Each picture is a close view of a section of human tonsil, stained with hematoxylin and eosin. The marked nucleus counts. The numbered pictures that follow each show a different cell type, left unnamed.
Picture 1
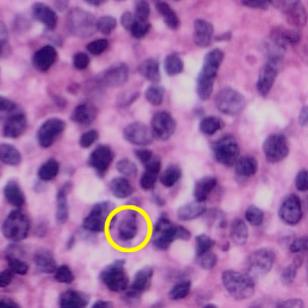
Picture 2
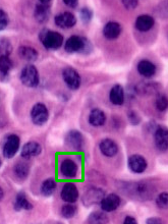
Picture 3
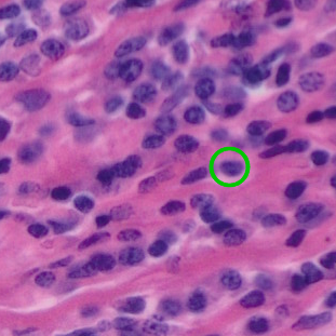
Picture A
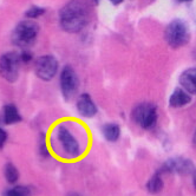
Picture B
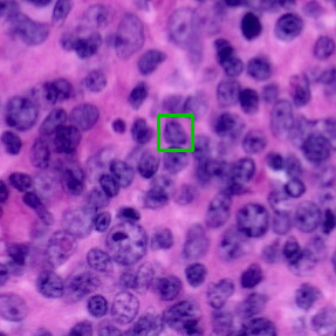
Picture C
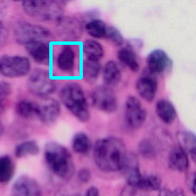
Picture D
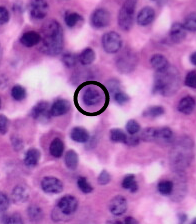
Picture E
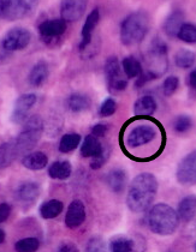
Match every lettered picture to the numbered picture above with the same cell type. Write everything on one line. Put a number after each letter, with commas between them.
A 3, B 1, C 1, D 2, E 2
